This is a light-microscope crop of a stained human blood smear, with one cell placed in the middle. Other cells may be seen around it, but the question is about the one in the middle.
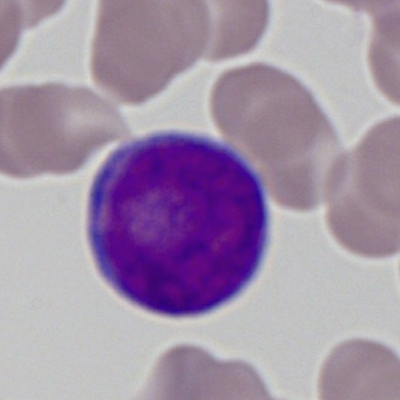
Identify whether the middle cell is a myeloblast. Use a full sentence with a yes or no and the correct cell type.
Yes, the cell occupying the middle of the crop is a myeloblast.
